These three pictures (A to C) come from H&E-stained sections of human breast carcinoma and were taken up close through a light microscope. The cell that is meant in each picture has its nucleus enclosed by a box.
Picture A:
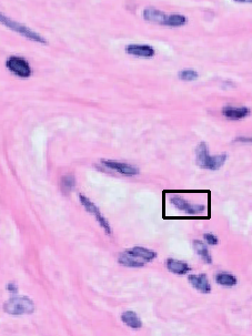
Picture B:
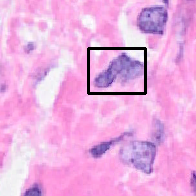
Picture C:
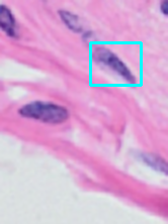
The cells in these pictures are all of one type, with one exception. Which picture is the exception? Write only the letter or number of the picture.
A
